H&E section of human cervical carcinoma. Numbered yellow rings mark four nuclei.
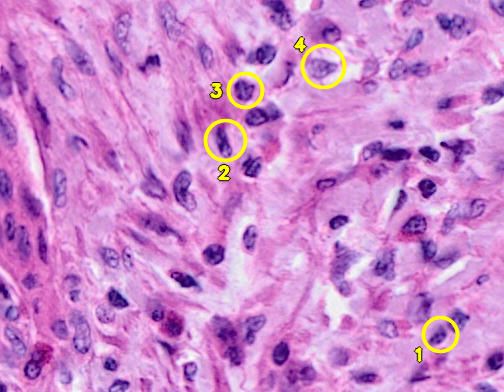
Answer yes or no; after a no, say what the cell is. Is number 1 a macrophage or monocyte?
No, it is a lymphocyte.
